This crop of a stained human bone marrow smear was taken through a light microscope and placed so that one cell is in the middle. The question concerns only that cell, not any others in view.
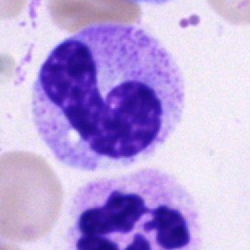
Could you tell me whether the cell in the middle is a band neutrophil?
yes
